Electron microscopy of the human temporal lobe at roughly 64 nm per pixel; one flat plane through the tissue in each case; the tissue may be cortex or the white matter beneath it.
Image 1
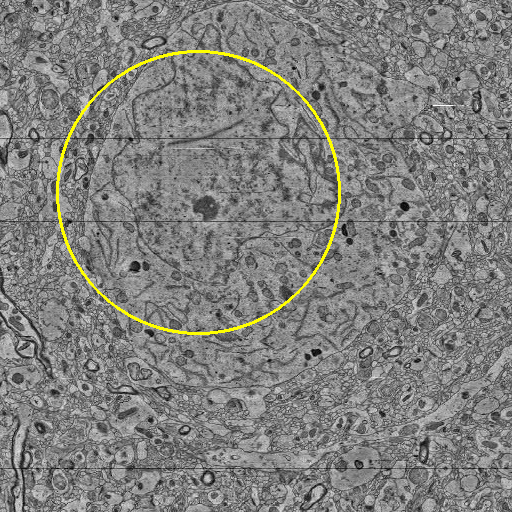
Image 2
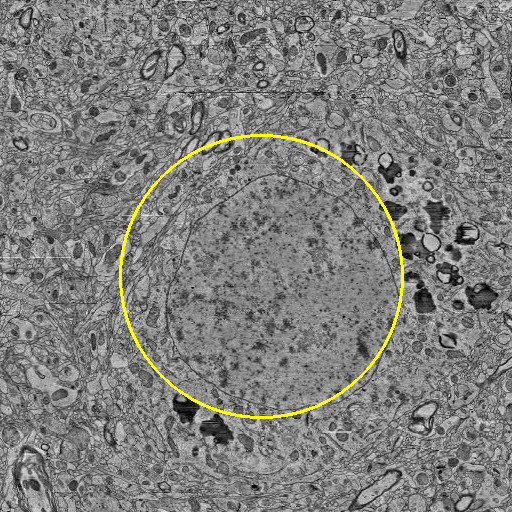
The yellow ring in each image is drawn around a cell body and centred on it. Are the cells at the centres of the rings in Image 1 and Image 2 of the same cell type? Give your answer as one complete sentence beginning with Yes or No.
No, the two cells are of two separate types.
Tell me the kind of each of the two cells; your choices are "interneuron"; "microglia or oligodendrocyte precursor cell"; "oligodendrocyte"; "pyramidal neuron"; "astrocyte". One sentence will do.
The ringed cell is an interneuron in the first picture and a pyramidal neuron in the second picture.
